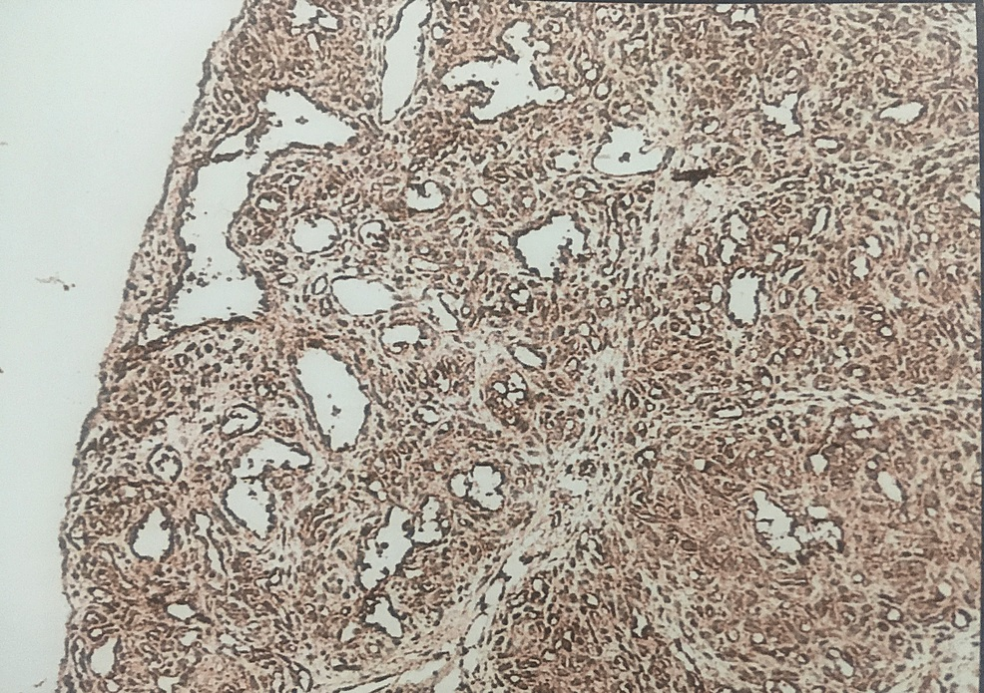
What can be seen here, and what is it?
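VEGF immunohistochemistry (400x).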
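This section of a capillary hemangioma shows many small and some larger, irregular vascular channels with open lumens. The channels are lined by flattened endothelial cells and sit within densely cellular lobules separated by paler fibrous bands. A strong brown stain is seen diffusely in the endothelial cells and in the cellular areas between the channels.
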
